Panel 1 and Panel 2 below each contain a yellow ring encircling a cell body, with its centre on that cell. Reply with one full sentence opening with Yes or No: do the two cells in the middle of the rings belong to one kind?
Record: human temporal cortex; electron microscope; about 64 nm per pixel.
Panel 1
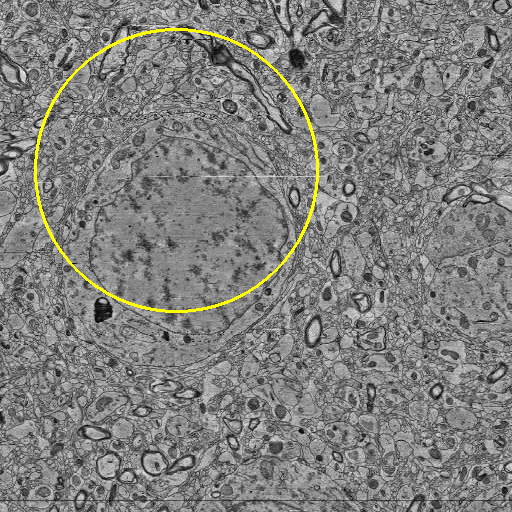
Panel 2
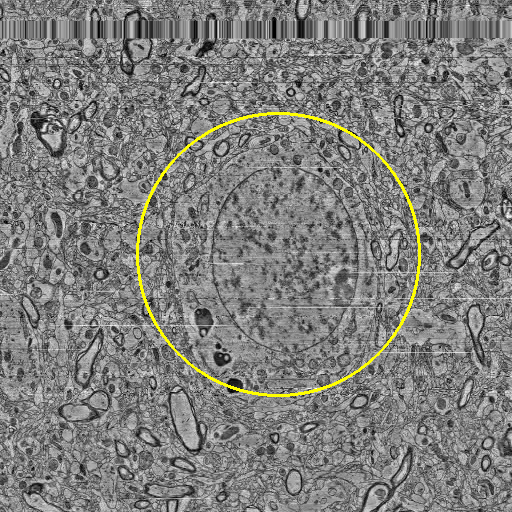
Yes, the cells at the middle of the Panel 1 ring and the Panel 2 ring are of one kind.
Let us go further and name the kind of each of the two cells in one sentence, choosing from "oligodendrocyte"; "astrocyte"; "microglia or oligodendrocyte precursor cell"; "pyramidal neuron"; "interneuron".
Each of the two rings surrounds a pyramidal neuron.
